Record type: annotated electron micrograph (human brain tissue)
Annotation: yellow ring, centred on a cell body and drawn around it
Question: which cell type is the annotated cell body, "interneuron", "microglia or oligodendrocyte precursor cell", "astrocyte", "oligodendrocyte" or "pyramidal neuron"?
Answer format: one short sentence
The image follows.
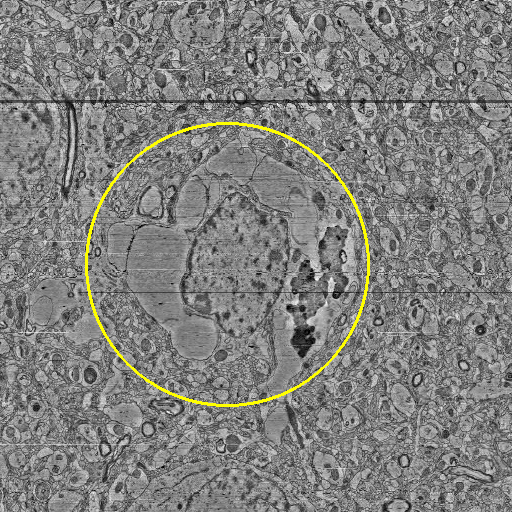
The annotated cell body is that of an astrocyte.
